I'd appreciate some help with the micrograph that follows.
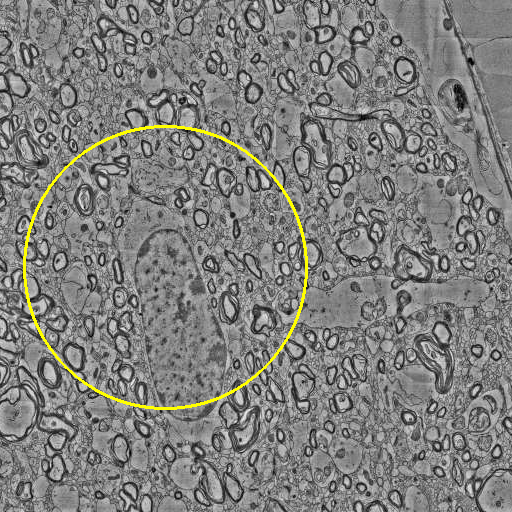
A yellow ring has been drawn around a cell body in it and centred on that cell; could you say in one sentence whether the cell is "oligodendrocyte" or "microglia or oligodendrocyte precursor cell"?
It is a microglial cell or oligodendrocyte precursor cell at the centre of the ring.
